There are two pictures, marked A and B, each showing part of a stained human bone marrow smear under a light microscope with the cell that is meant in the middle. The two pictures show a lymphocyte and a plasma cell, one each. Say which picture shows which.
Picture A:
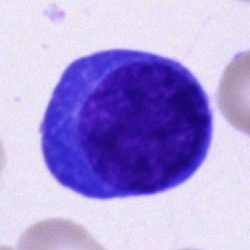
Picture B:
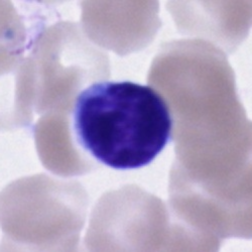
A: plasma cell
B: lymphocyte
